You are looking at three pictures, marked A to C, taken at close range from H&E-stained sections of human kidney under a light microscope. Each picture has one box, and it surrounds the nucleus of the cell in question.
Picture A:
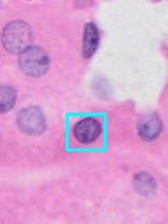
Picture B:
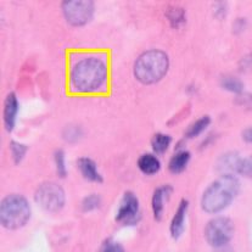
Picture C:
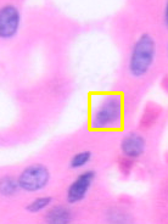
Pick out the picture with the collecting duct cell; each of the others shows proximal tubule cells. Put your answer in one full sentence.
The collecting duct cell is the one in picture C.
